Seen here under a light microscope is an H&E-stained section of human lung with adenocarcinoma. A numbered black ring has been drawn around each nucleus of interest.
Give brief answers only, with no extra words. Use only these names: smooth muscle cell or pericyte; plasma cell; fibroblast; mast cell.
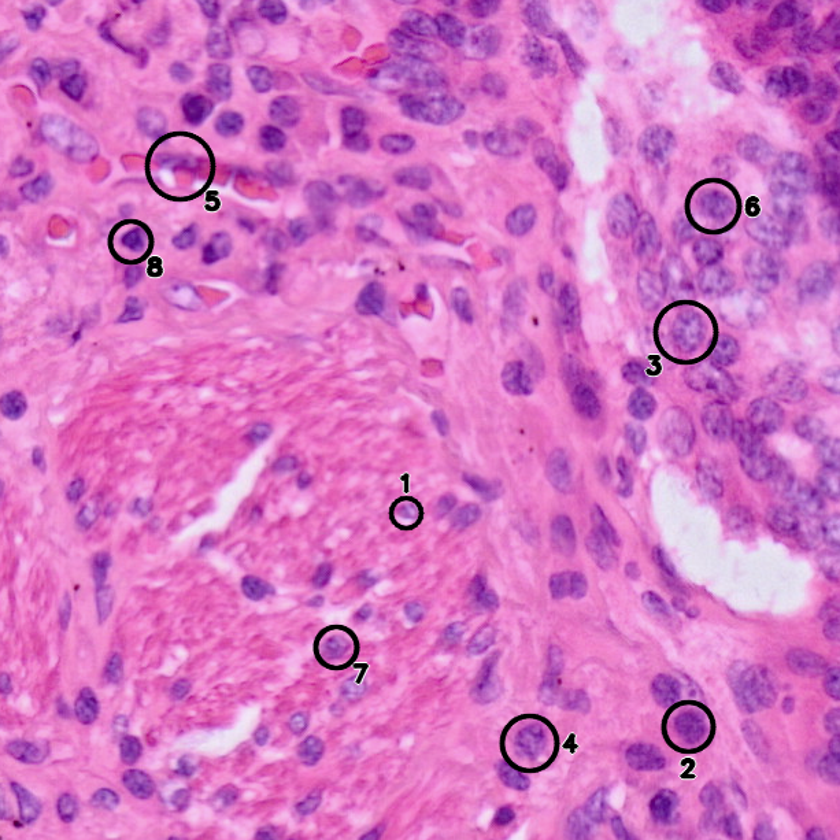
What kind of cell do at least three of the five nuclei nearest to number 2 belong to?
fibroblast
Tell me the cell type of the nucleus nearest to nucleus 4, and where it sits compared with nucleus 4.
a mast cell below and to the left of nucleus 4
